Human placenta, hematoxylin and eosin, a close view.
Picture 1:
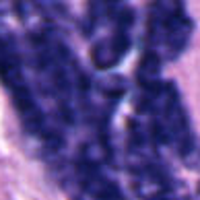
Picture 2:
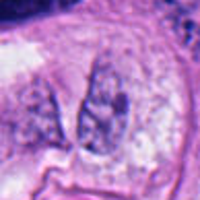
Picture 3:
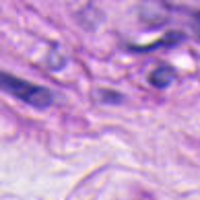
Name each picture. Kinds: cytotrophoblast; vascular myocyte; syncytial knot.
Picture 1: syncytial knot
Picture 2: cytotrophoblast
Picture 3: vascular myocyte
